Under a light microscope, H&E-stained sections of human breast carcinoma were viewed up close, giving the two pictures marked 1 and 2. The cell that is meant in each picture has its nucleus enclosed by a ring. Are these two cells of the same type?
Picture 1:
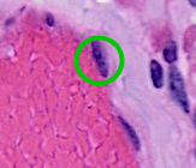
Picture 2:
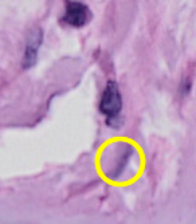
no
